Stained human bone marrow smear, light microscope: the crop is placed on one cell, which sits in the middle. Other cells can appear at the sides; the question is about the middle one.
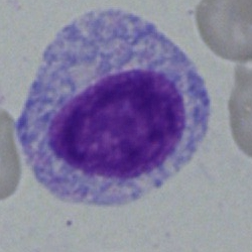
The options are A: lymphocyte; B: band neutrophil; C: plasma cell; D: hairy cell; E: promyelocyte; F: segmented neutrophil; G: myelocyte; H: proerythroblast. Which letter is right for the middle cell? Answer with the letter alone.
G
